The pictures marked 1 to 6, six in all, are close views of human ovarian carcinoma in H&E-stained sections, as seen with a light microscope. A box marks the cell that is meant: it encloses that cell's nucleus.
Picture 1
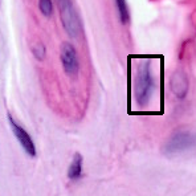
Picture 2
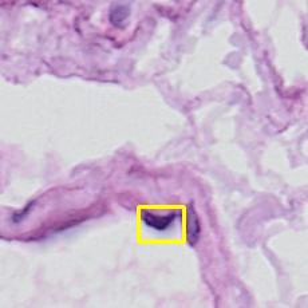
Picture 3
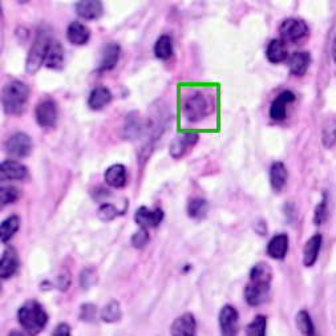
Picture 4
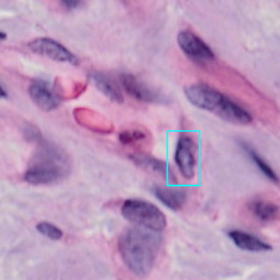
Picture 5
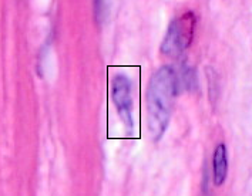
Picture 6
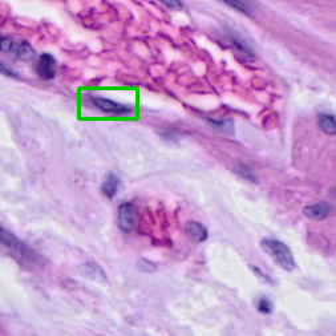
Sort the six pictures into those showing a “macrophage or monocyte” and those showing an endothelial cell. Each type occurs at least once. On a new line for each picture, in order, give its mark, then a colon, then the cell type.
1: endothelial cell
2: endothelial cell
3: macrophage or monocyte
4: endothelial cell
5: macrophage or monocyte
6: endothelial cell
